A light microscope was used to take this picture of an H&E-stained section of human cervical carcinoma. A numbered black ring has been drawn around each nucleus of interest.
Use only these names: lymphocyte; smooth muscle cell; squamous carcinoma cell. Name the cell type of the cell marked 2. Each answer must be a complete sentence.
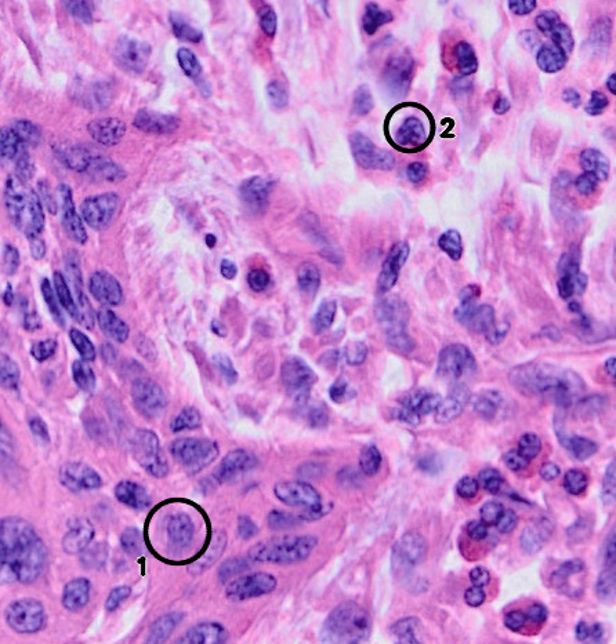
The cell tagged with 2 in this tissue section is a lymphocyte.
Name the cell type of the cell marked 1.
Identified as a squamous carcinoma cell is the cell bearing the number 1.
